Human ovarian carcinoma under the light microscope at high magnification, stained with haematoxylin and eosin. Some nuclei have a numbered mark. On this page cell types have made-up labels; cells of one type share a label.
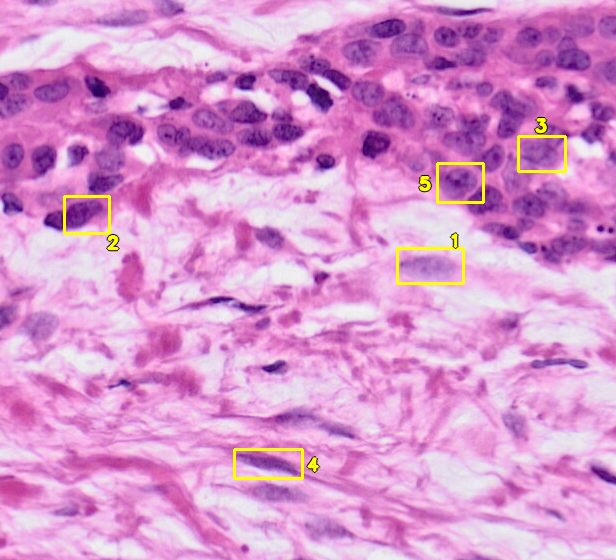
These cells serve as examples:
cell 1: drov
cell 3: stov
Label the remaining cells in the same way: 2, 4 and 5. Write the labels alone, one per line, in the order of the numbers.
stov
drov
stov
